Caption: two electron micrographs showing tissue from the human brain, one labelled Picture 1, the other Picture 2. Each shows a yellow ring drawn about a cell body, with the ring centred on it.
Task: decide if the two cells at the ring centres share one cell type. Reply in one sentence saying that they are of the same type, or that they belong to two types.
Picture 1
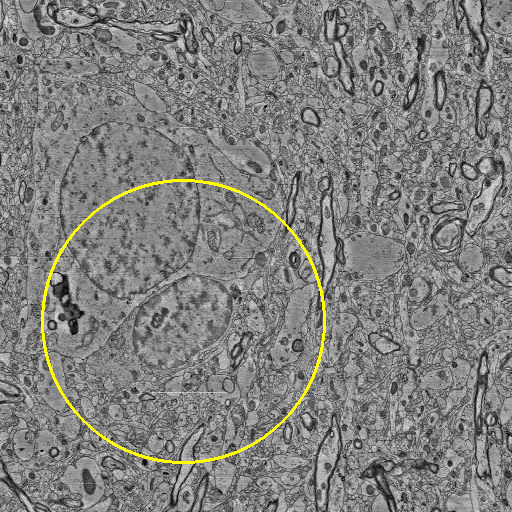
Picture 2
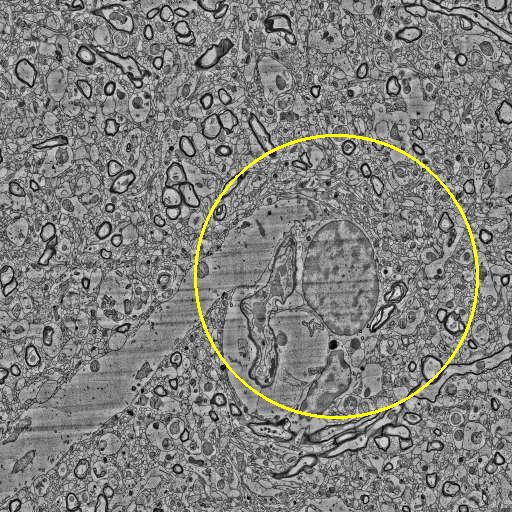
The cells at the ring centres in Picture 1 and Picture 2 are of the same type.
